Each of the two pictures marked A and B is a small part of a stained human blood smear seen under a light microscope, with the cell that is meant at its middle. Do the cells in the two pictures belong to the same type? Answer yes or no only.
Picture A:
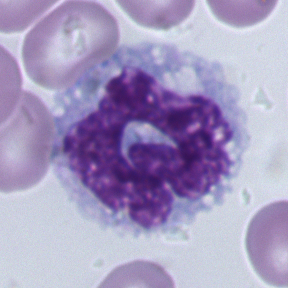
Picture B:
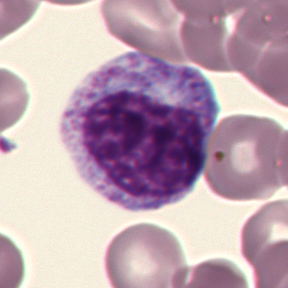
no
